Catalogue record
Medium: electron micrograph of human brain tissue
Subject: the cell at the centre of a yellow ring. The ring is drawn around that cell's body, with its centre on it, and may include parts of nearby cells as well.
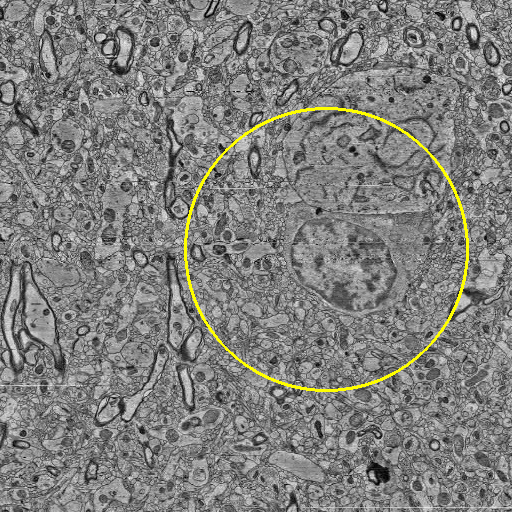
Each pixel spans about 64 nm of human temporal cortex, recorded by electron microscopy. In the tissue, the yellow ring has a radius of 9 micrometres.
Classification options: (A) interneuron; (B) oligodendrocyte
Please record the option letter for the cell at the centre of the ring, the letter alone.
B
